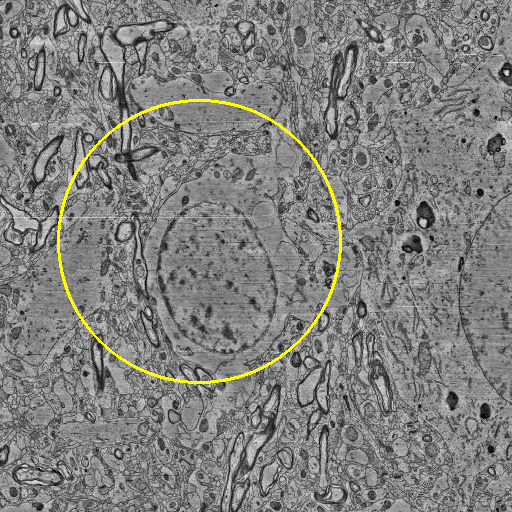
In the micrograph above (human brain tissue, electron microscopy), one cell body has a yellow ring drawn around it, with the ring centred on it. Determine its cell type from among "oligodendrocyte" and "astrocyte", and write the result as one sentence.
The cell whose body is ringed is an astrocyte.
